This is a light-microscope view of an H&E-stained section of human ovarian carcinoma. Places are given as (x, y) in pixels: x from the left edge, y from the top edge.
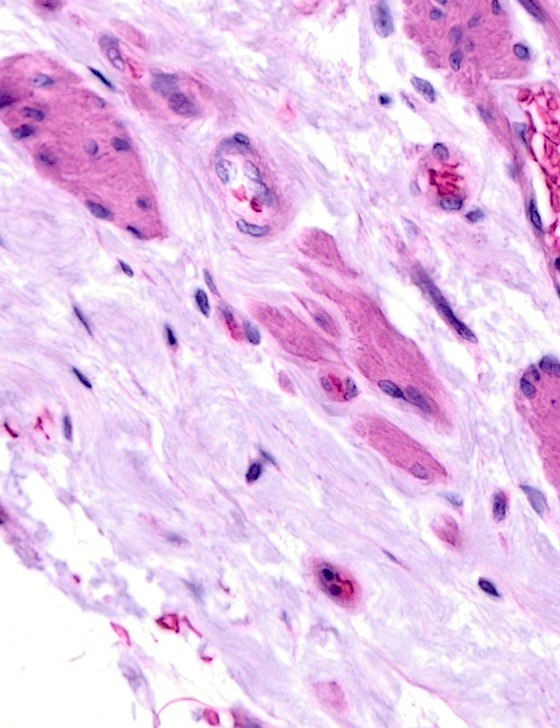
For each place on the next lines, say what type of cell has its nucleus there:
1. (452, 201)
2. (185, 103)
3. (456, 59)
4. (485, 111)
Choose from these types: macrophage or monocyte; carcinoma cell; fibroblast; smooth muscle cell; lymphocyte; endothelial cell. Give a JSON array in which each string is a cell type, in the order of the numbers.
["endothelial cell", "endothelial cell", "smooth muscle cell", "smooth muscle cell"]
